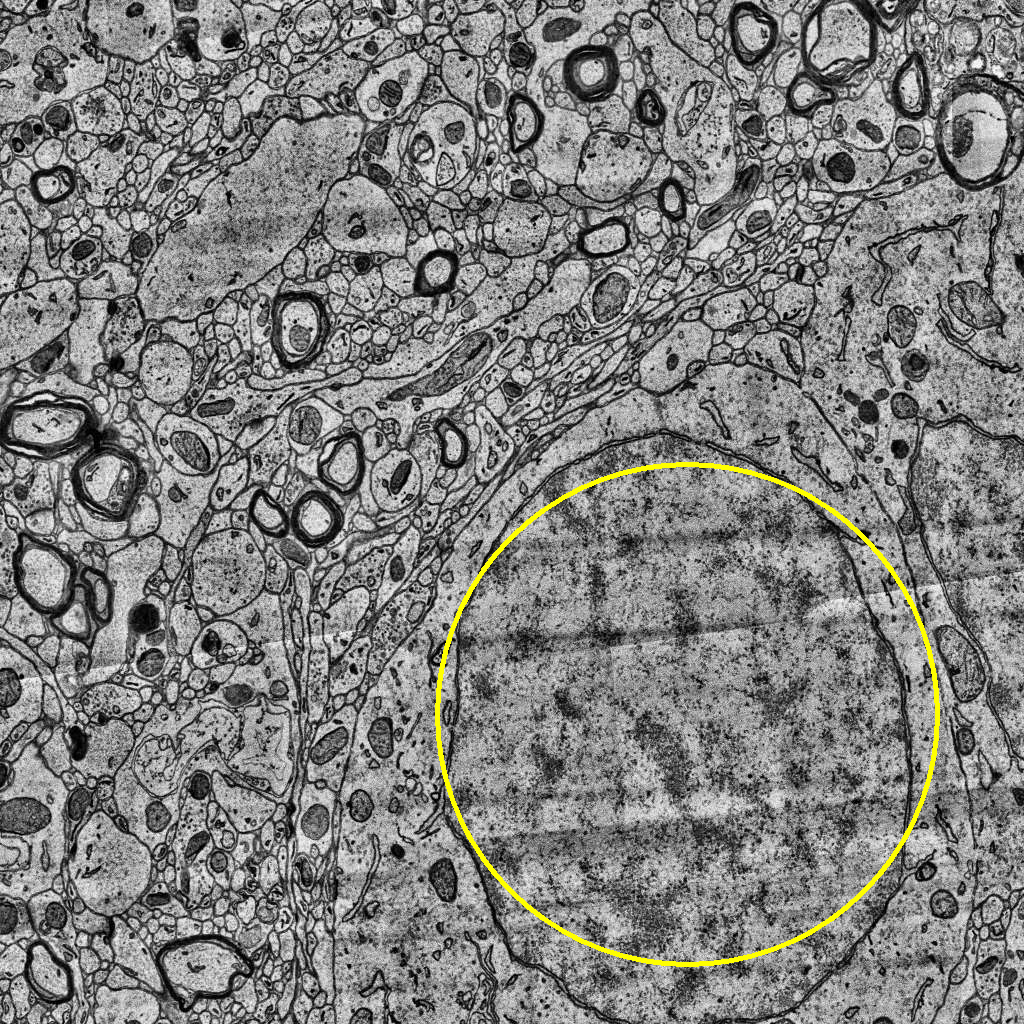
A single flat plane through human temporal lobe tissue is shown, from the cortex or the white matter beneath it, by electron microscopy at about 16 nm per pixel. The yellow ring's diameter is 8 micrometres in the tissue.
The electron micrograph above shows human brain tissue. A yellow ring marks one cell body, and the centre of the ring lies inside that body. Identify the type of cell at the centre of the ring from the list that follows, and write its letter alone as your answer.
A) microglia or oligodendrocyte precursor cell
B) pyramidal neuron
B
